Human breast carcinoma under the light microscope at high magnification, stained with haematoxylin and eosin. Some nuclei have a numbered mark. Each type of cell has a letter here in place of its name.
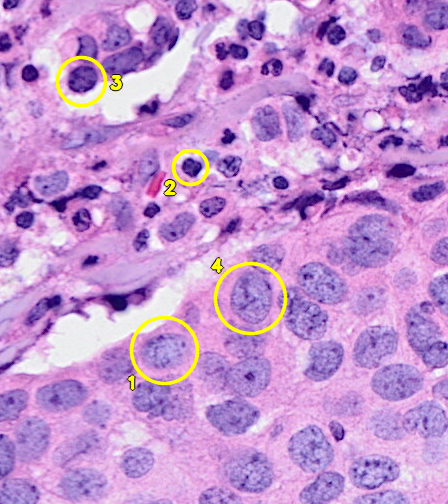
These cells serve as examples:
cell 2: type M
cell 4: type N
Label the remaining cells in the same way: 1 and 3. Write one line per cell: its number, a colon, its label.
1: type N
3: type N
